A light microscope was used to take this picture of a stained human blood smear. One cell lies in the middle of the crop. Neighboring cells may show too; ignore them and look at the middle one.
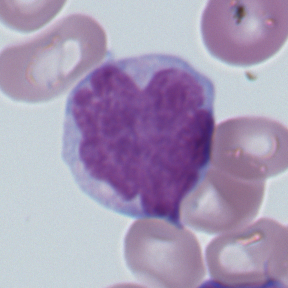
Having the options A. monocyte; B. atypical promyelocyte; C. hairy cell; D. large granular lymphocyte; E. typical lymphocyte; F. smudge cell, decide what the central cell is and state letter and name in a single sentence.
Option B stands as correct, the central cell being an atypical promyelocyte.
